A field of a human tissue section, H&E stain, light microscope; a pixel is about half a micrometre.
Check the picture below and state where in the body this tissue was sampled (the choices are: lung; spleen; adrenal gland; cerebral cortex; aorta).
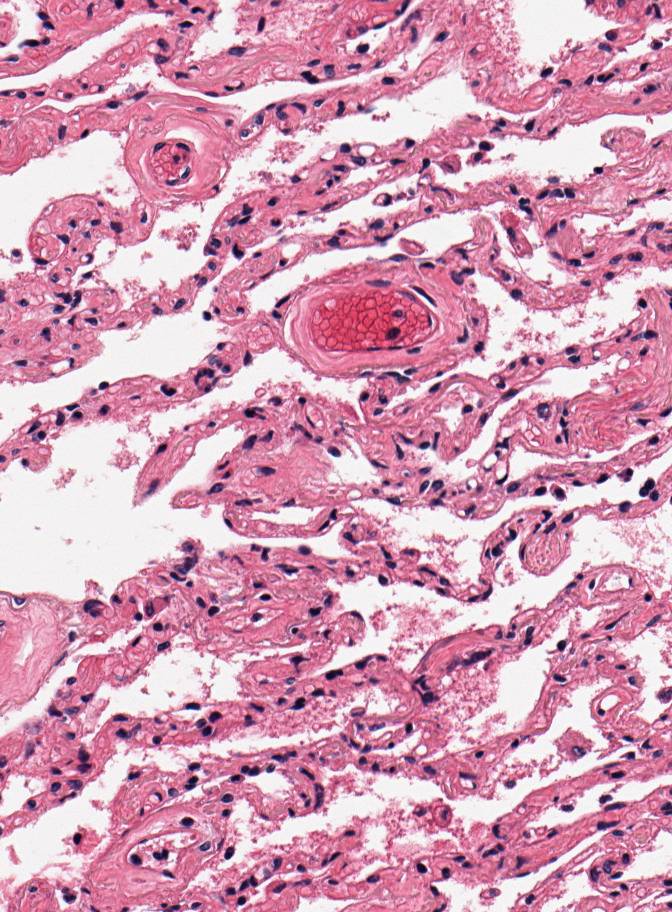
lung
